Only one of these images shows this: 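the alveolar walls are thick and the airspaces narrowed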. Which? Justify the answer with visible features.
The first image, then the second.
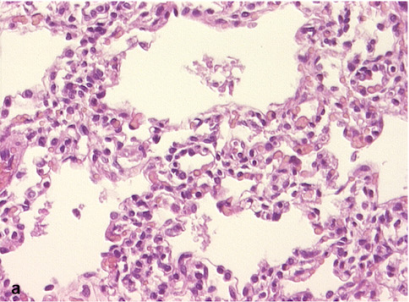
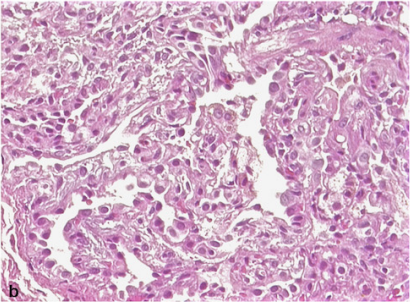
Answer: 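Second image: broad cellular septa with slit-like airspaces.
Answer: the second image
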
